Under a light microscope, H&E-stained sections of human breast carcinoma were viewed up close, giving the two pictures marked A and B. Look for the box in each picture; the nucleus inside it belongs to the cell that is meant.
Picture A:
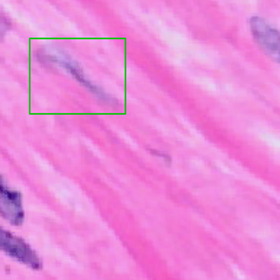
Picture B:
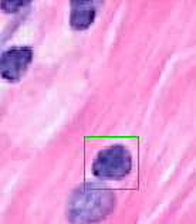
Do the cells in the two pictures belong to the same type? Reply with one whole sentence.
No; the cell in picture A is a fibroblast, while the one in picture B is a lymphocyte.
